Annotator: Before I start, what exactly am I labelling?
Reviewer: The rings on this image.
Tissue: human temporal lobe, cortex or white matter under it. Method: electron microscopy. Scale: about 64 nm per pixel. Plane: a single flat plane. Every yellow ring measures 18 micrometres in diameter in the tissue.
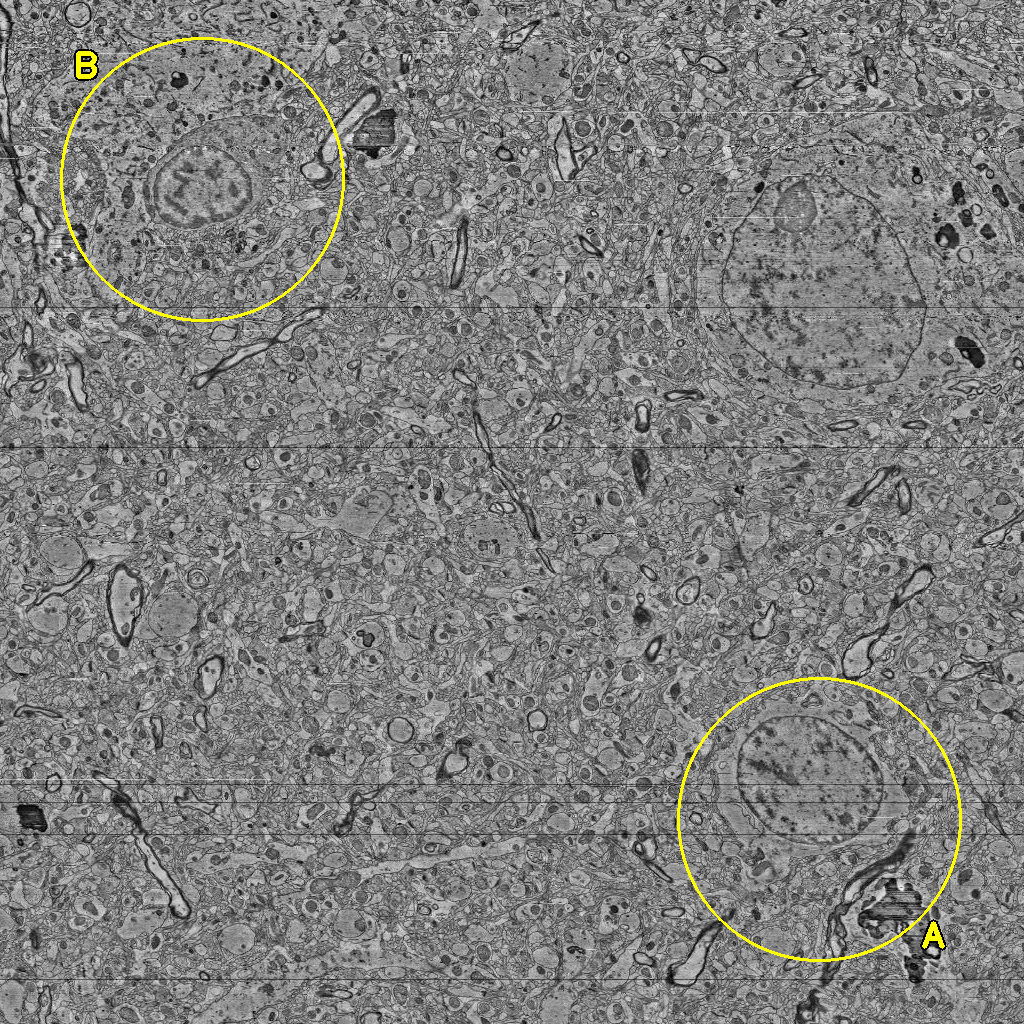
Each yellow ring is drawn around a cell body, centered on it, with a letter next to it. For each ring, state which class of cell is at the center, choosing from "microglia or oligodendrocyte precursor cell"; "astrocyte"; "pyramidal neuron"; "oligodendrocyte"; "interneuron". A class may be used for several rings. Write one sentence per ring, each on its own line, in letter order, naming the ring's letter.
At the center of ring A we have an astrocyte.
At the center of ring B we have an oligodendrocyte.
